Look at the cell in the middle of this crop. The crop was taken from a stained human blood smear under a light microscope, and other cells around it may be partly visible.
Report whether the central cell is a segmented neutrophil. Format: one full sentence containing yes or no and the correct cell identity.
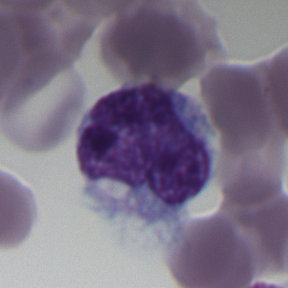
No, the central cell is not a segmented neutrophil, being instead a monocyte.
